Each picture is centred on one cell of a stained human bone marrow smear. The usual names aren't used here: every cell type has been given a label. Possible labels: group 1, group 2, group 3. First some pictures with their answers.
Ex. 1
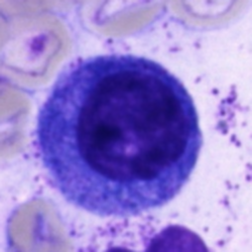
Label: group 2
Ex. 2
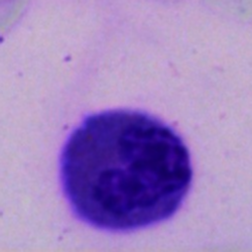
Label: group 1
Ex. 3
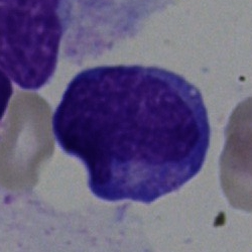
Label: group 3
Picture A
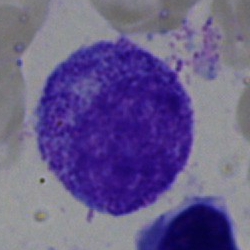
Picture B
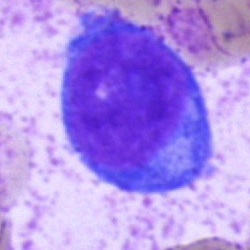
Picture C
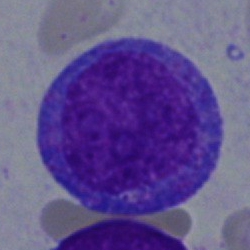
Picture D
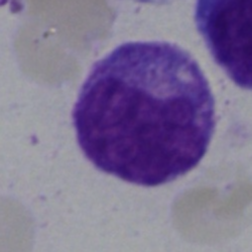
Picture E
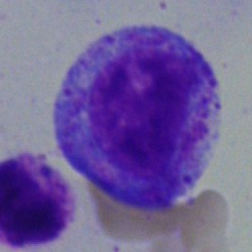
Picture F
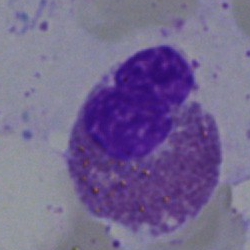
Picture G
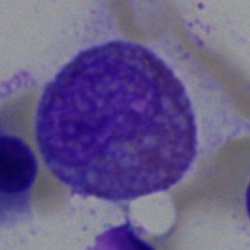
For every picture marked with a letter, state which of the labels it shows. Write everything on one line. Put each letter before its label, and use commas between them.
A group 2, B group 3, C group 2, D group 2, E group 2, F group 1, G group 1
